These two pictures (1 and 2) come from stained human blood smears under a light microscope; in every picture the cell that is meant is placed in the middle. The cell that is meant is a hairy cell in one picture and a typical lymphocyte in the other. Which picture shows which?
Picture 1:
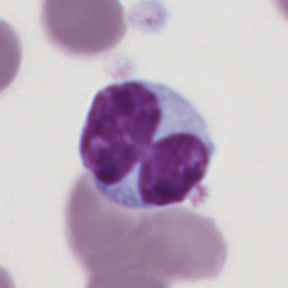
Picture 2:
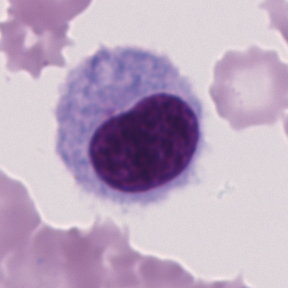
1: typical lymphocyte
2: hairy cell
